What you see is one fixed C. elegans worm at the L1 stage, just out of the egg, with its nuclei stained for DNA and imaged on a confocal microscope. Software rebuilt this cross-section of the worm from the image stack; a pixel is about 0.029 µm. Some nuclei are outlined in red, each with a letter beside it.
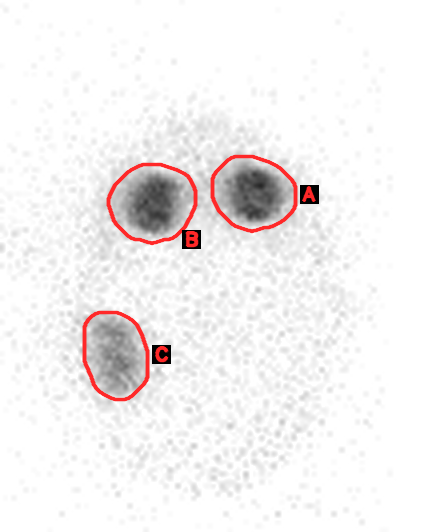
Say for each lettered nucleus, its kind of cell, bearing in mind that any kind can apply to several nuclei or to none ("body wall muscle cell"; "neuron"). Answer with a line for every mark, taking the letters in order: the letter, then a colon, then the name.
A: body wall muscle cell
B: body wall muscle cell
C: neuron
